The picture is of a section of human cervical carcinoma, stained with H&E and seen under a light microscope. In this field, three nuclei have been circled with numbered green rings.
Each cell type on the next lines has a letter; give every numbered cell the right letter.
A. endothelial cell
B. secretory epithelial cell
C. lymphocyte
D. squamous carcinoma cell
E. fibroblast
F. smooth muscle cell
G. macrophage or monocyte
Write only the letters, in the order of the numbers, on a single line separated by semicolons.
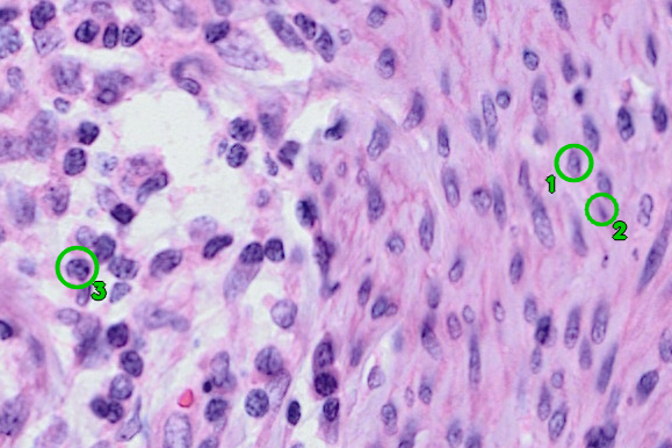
F; F; C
